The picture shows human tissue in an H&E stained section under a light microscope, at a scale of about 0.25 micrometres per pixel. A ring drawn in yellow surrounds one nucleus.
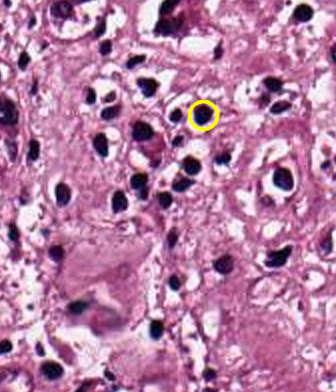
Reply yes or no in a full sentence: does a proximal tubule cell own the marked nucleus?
No, the marked nucleus, rather than belonging to a proximal tubule cell, belongs to a supporting cell.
